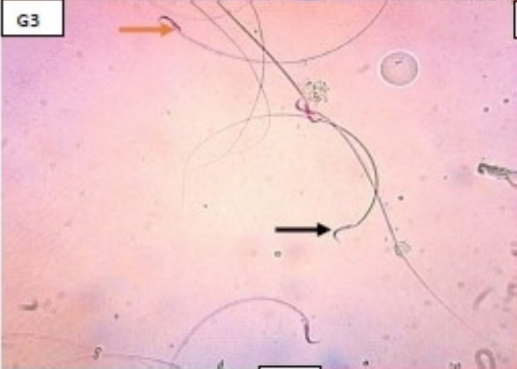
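Spermatozoa are spread on a pink background, each with a small hooked head and a very long, thin tail. The tails cross one another in loose curves, and a few round bubbles and small debris lie between the cells.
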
